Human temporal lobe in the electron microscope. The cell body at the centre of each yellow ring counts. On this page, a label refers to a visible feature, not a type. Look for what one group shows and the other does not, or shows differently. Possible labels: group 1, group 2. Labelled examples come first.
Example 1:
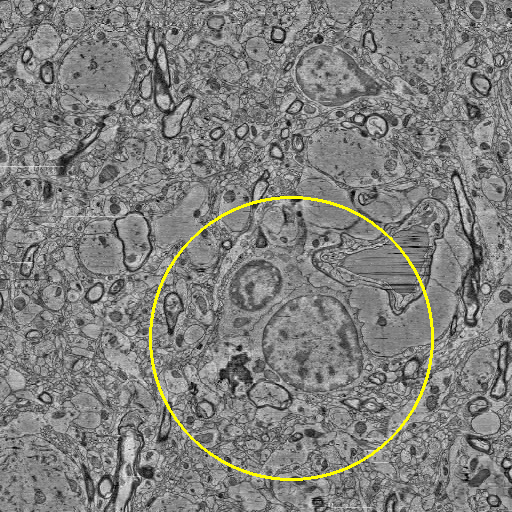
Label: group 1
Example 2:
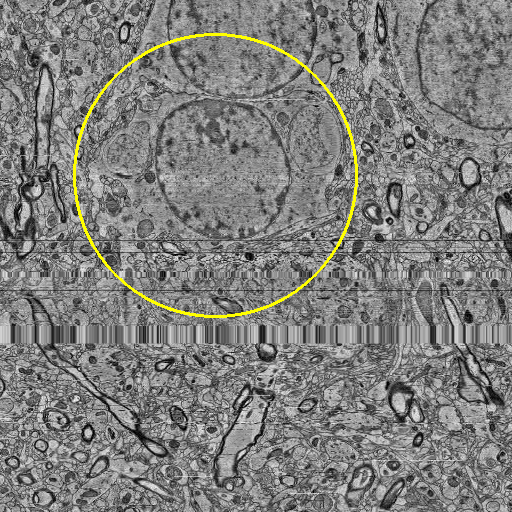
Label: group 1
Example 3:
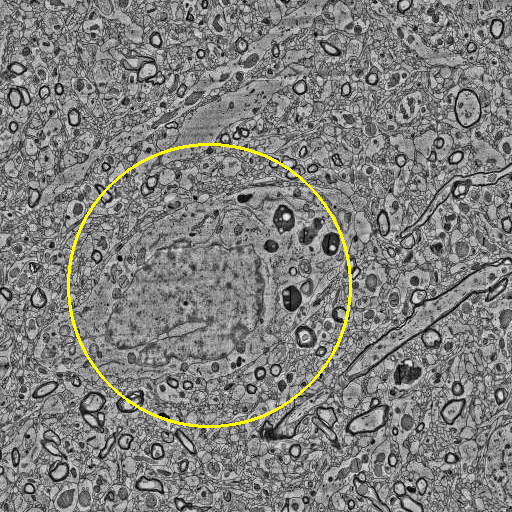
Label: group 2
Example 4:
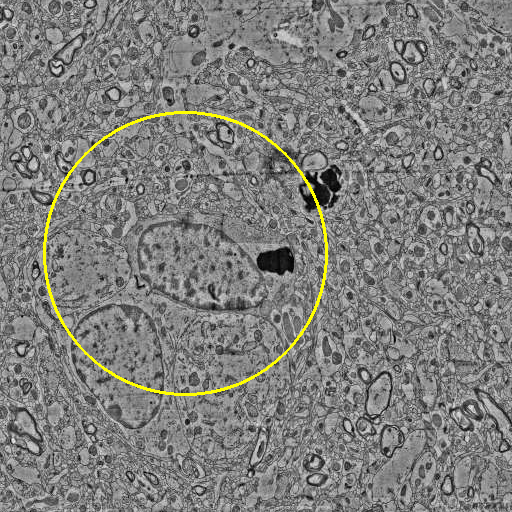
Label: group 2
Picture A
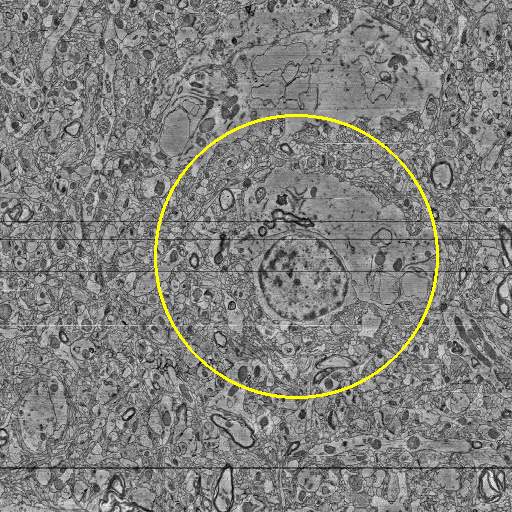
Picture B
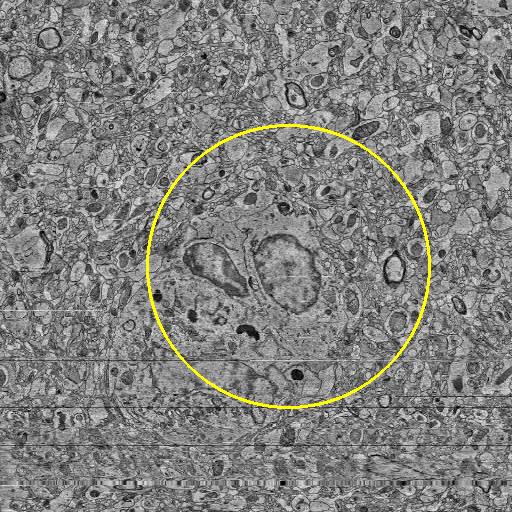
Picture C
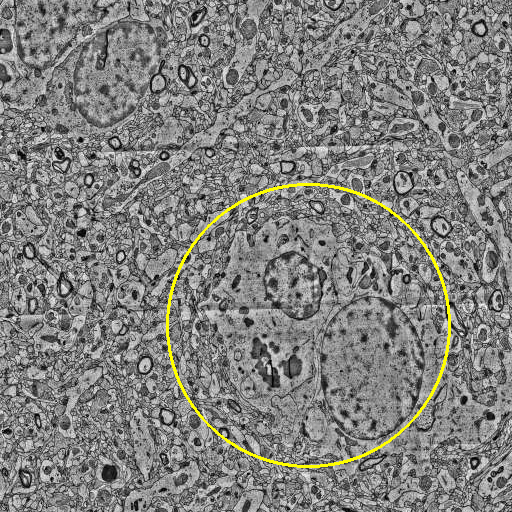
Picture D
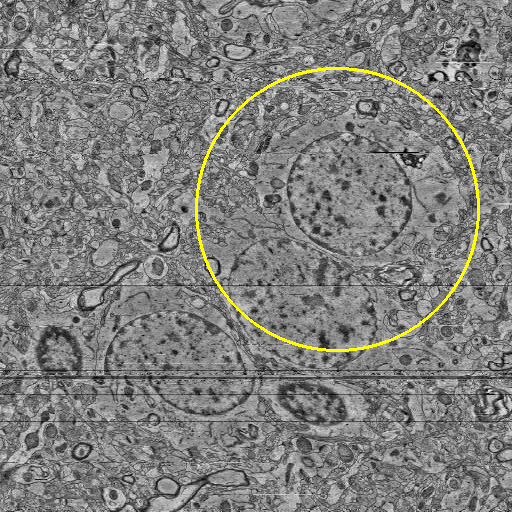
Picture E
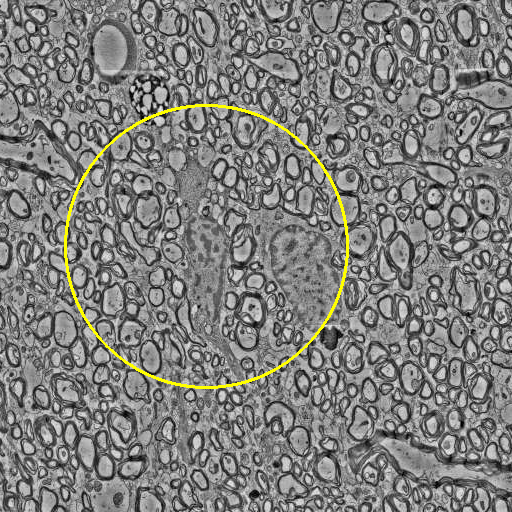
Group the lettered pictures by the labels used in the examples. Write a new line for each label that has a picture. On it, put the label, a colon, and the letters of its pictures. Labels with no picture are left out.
group 1: A, B, C, D
group 2: E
